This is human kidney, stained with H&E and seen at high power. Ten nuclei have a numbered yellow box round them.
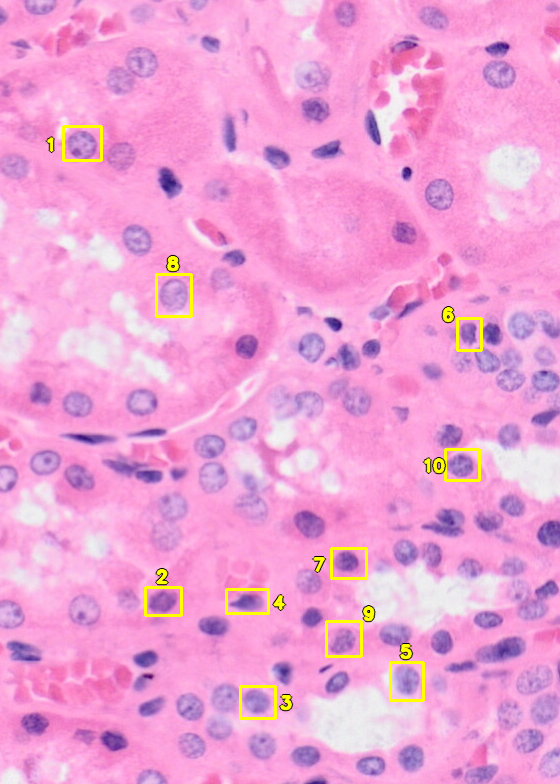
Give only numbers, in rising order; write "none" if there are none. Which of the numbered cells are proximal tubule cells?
1, 2, 8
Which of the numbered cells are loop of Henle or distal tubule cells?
3, 5, 7, 9, 10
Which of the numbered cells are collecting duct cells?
6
